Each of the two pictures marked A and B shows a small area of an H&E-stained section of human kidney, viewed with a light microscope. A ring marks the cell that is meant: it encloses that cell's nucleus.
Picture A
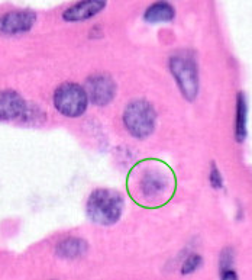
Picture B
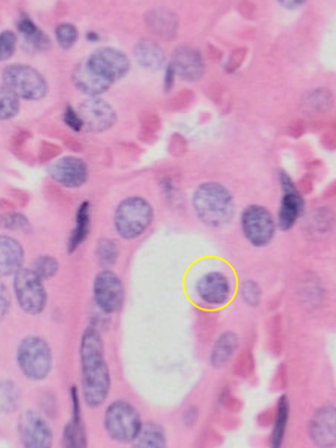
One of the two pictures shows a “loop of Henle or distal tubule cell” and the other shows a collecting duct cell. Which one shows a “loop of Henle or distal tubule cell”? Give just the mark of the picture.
A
